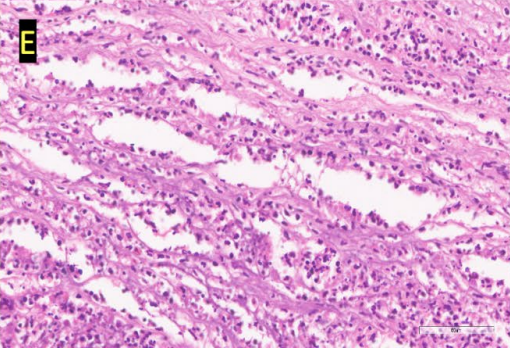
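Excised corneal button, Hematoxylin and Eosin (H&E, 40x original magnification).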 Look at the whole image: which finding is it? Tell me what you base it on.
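Dense mixed inflammatory infiltrates. Many small dark-nucleated cells packed between separated stromal lamellae.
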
